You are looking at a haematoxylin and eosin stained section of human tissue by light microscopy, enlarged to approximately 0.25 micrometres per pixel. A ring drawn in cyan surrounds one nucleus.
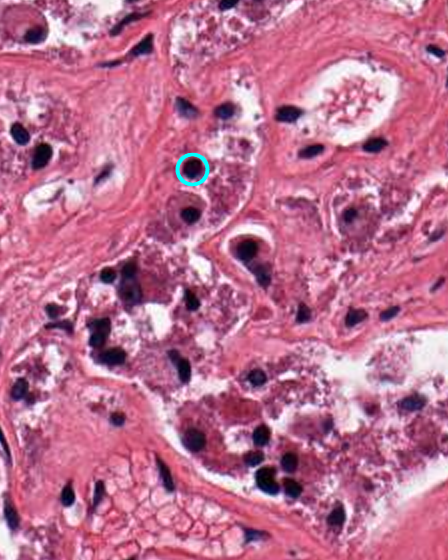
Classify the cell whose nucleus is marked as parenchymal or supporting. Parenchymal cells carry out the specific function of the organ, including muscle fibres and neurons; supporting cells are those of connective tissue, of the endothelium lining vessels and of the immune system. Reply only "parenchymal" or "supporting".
parenchymal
